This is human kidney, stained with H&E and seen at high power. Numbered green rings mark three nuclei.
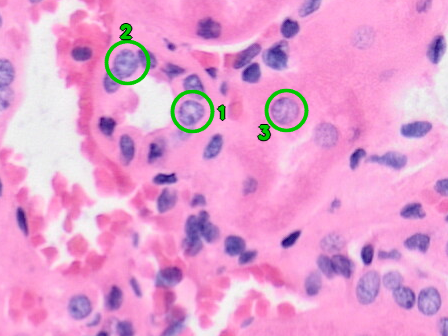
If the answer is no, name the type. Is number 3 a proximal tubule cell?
Yes.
